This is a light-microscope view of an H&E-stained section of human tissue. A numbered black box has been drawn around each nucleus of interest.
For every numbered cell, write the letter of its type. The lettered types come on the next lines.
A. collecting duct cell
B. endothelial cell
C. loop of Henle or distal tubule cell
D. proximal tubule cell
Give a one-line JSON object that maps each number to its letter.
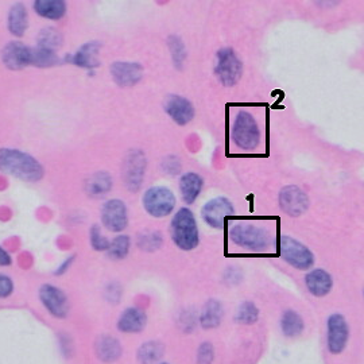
{"1": "A", "2": "D"}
